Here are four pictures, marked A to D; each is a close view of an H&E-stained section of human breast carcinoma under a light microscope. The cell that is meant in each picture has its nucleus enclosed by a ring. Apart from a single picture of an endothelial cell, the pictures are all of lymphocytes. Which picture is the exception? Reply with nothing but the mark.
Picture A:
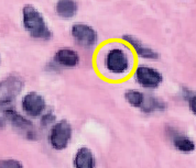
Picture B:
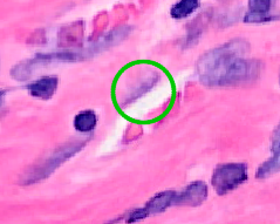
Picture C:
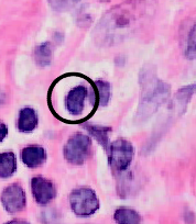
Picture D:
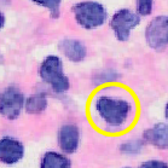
B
